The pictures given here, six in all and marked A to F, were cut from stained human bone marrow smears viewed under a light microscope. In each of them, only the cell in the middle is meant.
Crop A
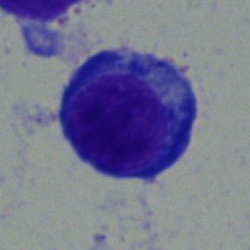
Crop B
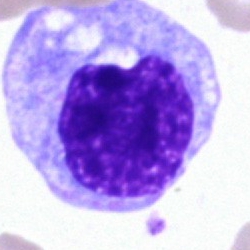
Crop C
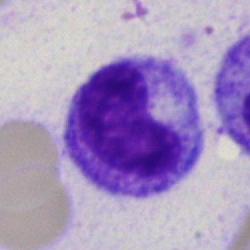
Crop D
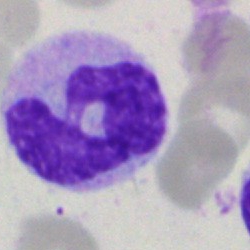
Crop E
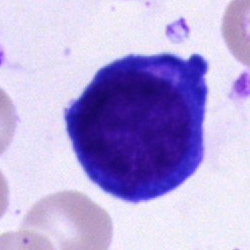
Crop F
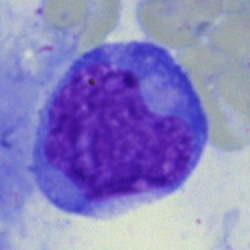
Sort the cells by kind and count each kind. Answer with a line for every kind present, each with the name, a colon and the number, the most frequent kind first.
monocyte: 3
proerythroblast: 2
metamyelocyte: 1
